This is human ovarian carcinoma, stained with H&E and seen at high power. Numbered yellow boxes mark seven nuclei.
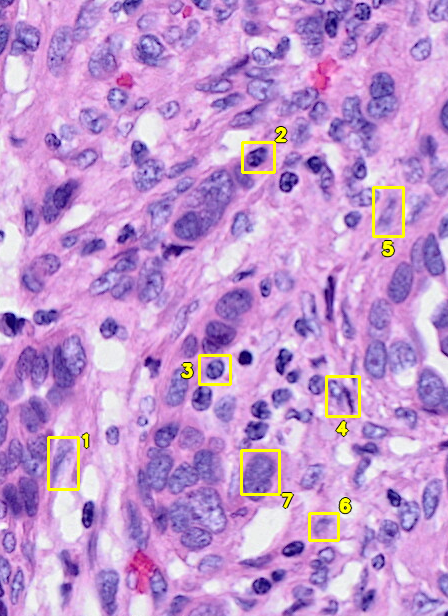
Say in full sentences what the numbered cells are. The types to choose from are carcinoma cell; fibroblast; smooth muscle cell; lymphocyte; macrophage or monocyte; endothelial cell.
Cell 1 is a fibroblast, cell 2 is a lymphocyte, cell 3 is a lymphocyte, cell 4 is a fibroblast, cell 5 is a fibroblast, cell 6 is a fibroblast and cell 7 is a carcinoma cell.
